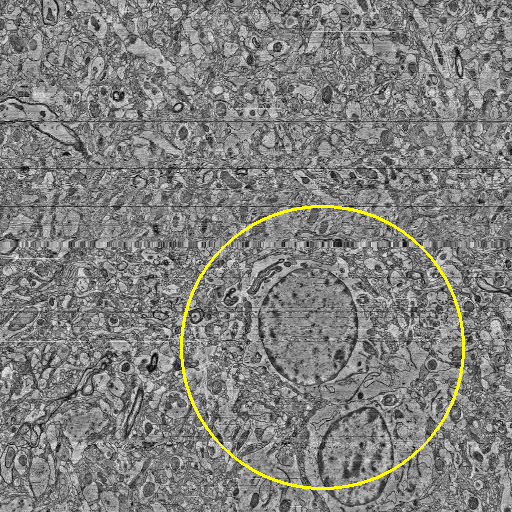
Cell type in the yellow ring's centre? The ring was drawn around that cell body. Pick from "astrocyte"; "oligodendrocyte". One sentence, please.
The ringed cell body is that of an astrocyte.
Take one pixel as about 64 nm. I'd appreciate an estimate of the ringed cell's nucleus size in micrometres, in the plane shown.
Roughly 8 by 6 micrometres is the size of the nucleus in this plane.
